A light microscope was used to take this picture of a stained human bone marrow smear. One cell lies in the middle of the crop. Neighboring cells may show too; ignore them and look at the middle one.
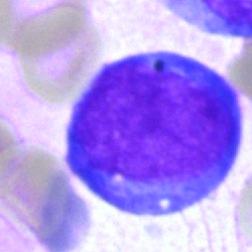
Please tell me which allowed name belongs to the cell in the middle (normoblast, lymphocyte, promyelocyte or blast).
blast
